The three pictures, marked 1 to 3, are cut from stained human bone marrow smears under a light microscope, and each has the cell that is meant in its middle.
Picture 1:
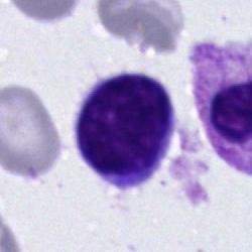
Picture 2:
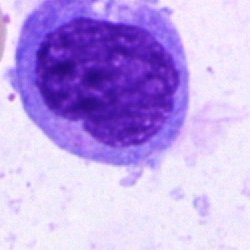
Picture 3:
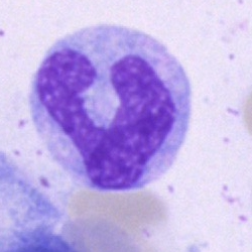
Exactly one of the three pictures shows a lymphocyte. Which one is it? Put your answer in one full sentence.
The lymphocyte is the one in picture 1.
